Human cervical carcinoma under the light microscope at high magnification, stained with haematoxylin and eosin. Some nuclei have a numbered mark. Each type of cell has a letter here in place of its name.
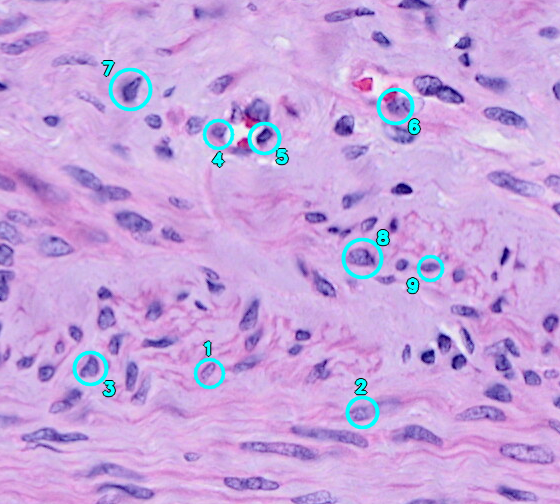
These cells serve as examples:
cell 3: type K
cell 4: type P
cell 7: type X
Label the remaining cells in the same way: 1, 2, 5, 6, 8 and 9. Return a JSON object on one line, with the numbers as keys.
{"1": "type K", "2": "type K", "5": "type P", "6": "type P", "8": "type K", "9": "type K"}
